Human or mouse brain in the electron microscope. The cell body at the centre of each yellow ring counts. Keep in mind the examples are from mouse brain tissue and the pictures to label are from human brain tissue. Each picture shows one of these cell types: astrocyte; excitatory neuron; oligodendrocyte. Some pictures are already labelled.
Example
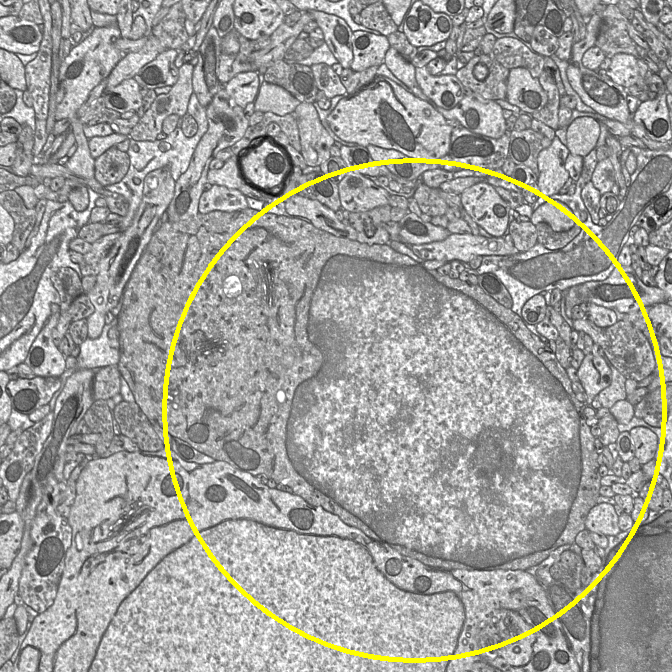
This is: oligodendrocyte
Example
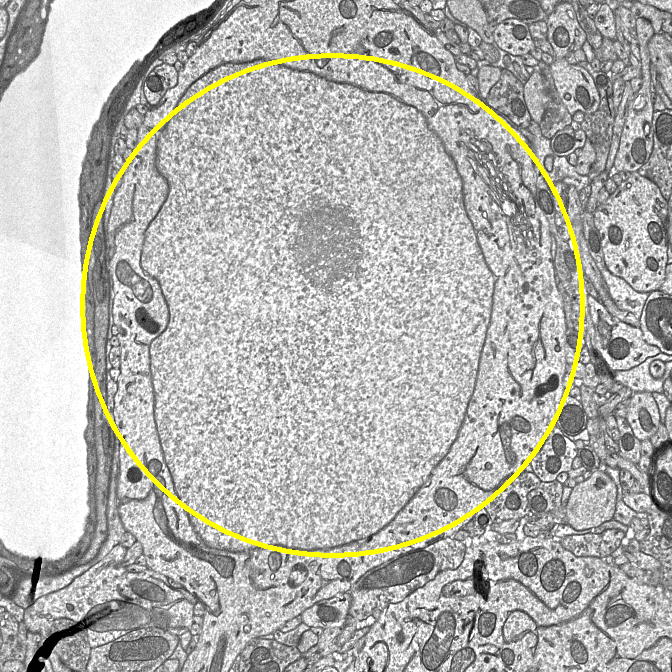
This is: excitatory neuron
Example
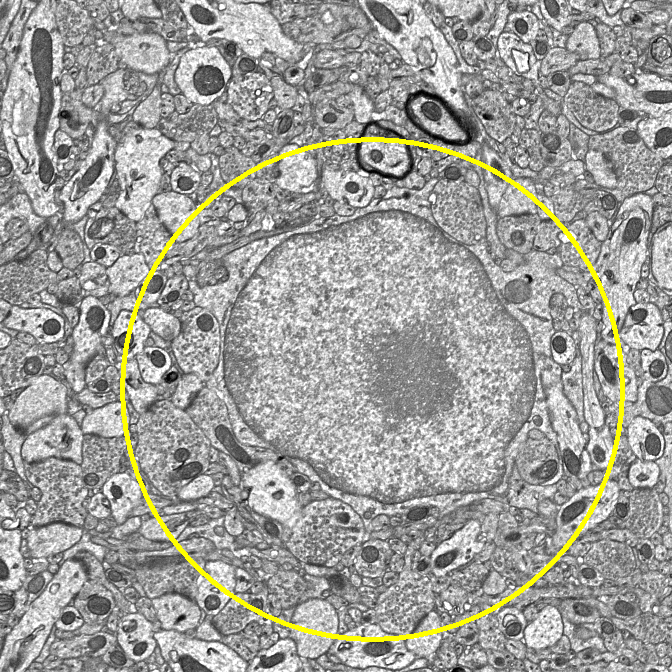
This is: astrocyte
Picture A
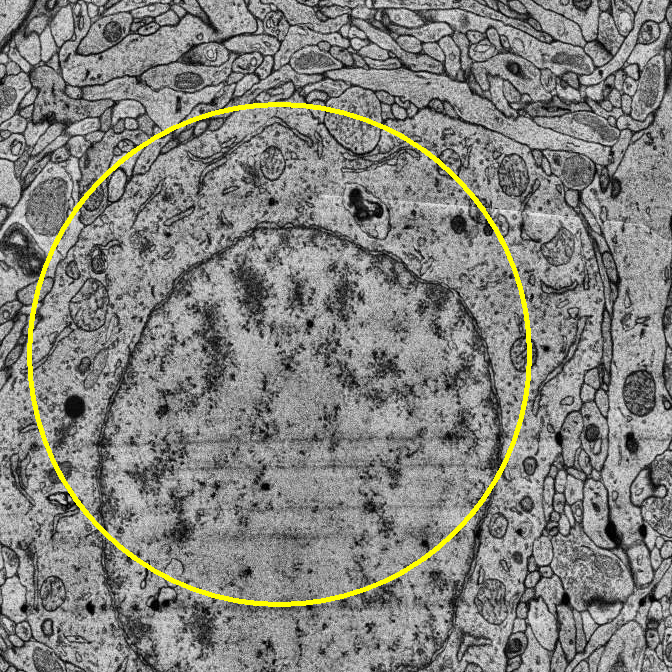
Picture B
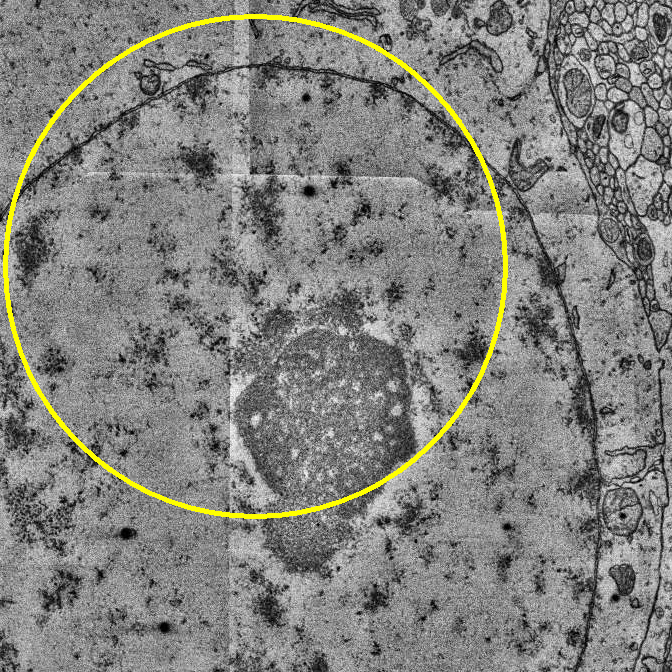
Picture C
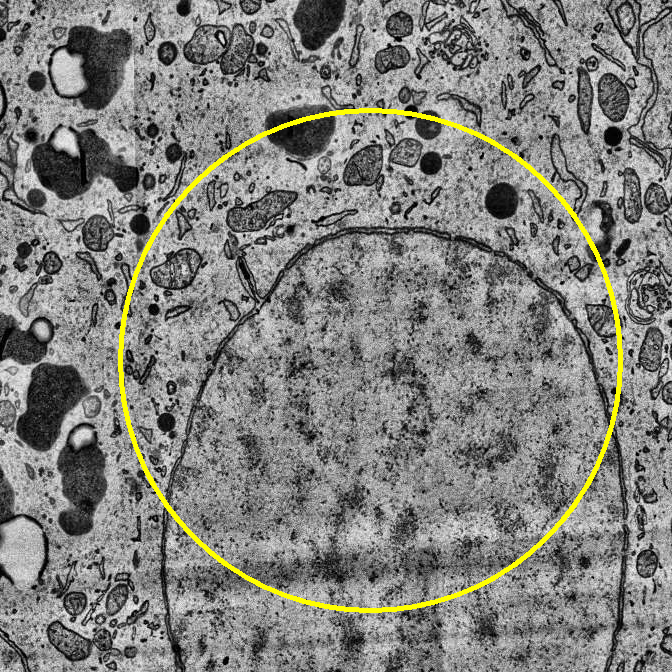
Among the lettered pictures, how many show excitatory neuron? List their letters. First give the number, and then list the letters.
3: A, B, C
